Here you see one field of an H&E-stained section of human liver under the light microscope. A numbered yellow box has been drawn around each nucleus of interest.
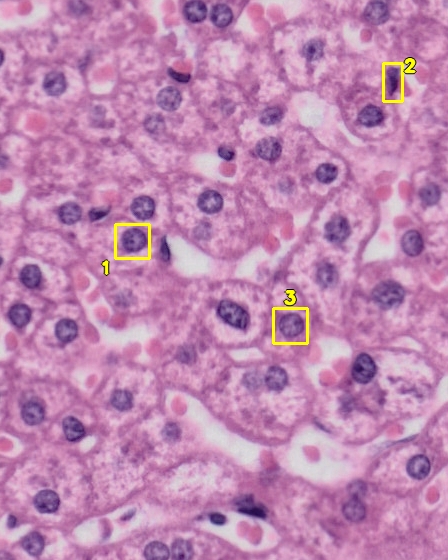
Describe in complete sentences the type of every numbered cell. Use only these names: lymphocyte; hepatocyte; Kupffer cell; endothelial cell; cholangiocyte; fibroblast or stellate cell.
Cells 1 and 3 are hepatocytes. Cell 2 is an endothelial cell.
